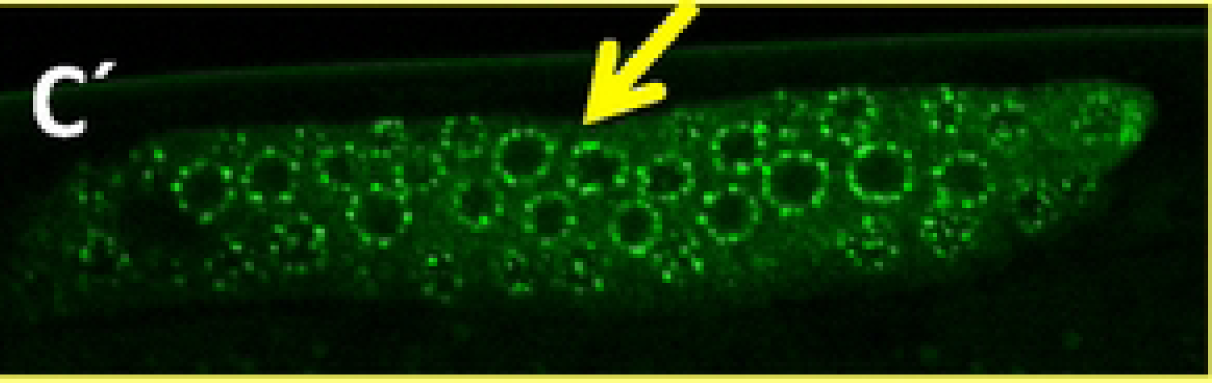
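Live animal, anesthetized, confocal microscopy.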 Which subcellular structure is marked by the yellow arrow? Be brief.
Perinuclear foci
